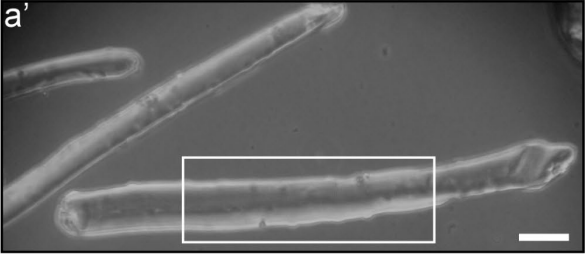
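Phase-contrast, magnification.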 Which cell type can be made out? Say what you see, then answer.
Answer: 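Skeletal muscle fibers. Long, cylindrical cells with rounded ends.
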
